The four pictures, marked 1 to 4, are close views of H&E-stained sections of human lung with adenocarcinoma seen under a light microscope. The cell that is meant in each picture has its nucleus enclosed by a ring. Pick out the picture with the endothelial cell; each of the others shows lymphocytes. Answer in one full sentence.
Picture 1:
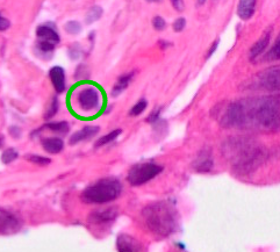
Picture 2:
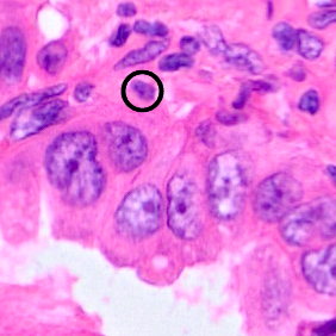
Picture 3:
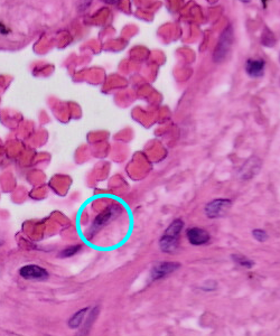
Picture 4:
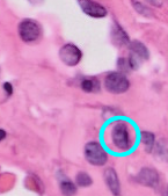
It is picture 3 that shows the endothelial cell.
